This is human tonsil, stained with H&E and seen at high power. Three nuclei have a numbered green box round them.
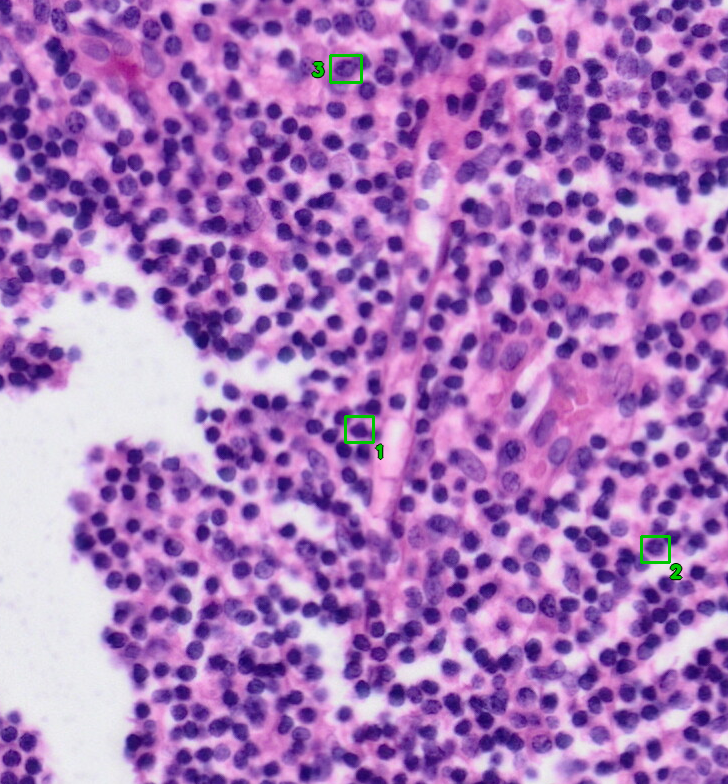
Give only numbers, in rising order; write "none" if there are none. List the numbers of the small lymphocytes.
1, 2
